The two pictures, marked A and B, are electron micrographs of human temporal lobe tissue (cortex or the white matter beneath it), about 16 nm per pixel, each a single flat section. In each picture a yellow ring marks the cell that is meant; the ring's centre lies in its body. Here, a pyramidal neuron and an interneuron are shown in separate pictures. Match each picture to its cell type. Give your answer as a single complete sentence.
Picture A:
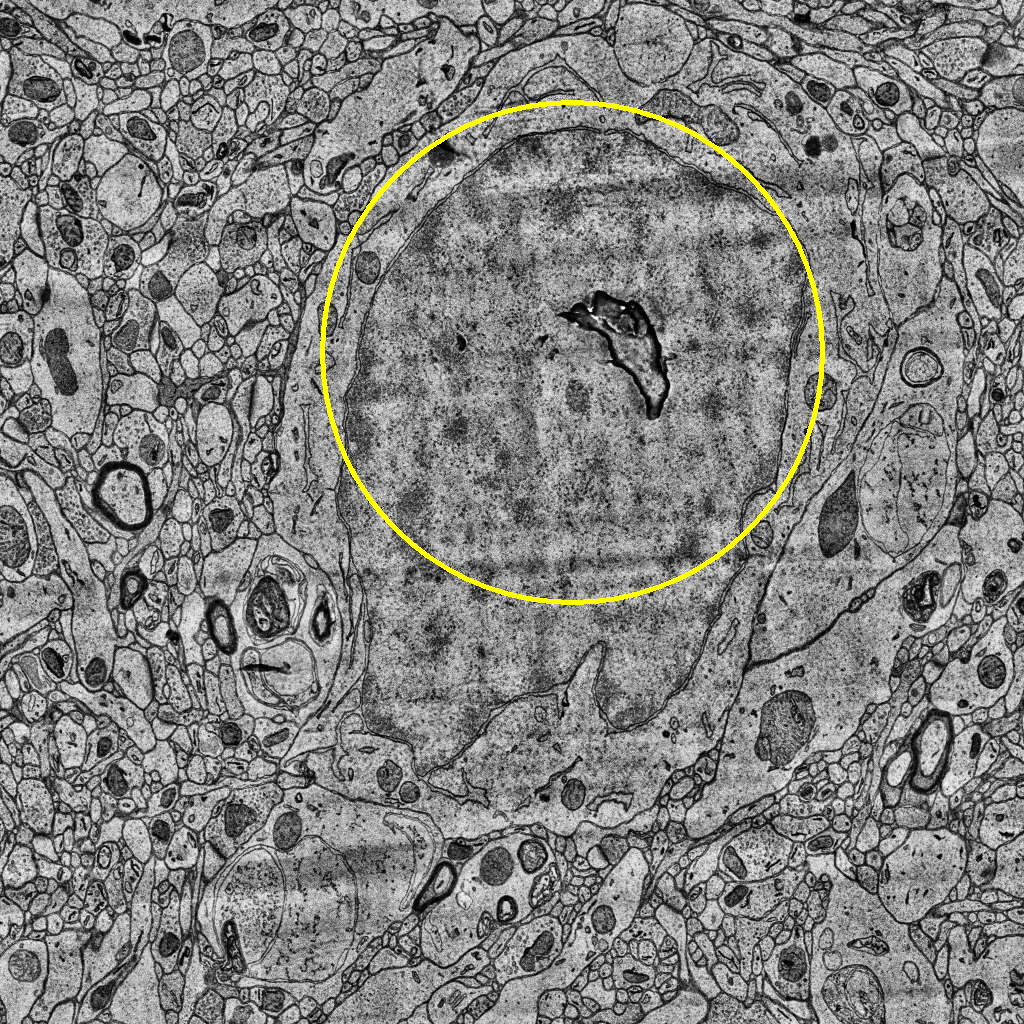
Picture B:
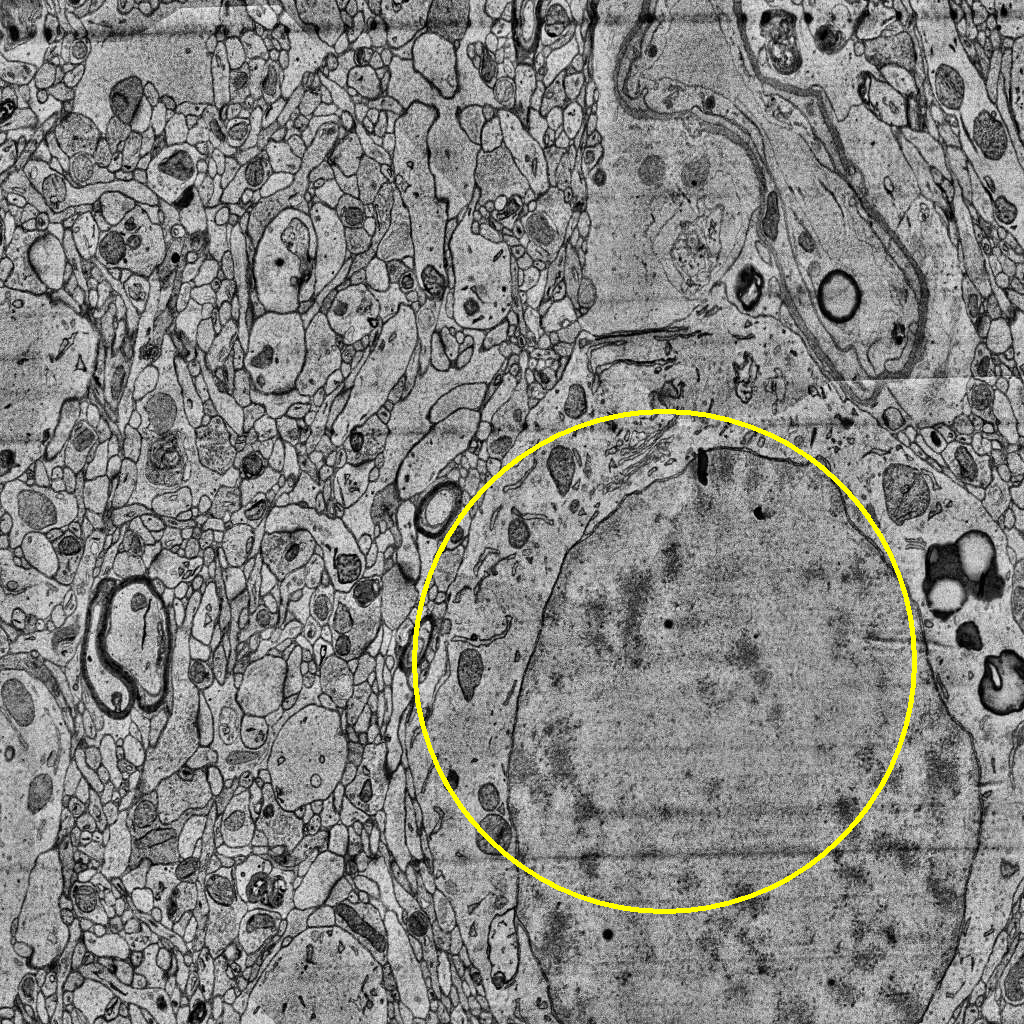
Picture A is of an interneuron, and picture B is of a pyramidal neuron.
